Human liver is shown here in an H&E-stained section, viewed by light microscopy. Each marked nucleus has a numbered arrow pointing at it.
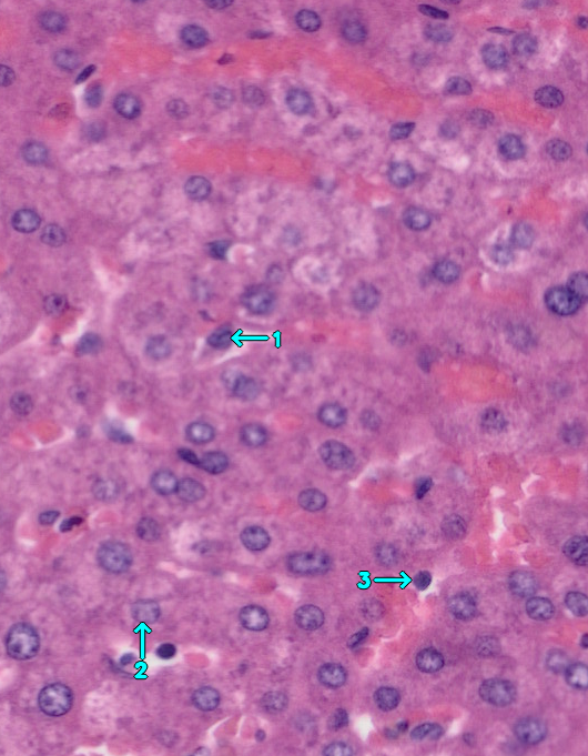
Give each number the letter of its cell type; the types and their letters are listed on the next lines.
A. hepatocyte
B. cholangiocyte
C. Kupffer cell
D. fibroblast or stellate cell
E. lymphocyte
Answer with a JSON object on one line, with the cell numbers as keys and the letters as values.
{"1": "C", "2": "A", "3": "E"}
